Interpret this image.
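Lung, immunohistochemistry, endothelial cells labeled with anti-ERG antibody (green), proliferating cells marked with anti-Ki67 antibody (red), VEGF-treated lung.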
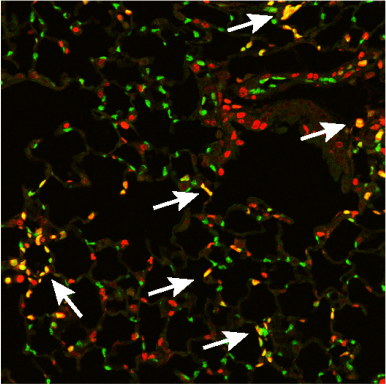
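The green nuclei are small and elongated, following the curve of the septa, while the red nuclei are rounder. Numerous yellow nuclei, where green and red coincide, are spread across the field, some in small groups. A thicker walled airway or vessel crosses the upper right, crowded with red nuclei.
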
